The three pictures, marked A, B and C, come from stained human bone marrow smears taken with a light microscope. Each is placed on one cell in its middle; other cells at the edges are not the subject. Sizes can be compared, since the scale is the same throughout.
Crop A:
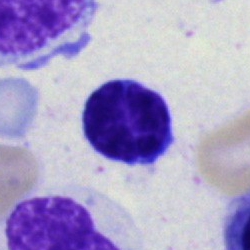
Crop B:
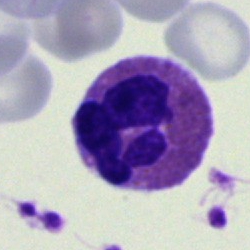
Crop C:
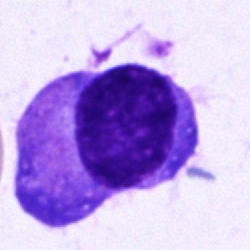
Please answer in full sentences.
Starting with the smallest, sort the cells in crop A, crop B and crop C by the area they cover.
Going up, they run A, B, C.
